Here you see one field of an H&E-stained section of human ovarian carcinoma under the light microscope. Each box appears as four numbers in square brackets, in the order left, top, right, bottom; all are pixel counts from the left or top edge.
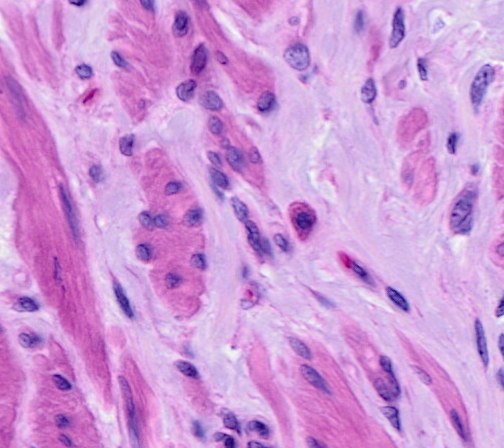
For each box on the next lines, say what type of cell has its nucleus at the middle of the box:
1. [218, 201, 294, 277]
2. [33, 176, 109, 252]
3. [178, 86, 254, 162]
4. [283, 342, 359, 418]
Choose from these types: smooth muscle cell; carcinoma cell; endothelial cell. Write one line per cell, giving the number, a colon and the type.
1: endothelial cell
2: smooth muscle cell
3: smooth muscle cell
4: smooth muscle cell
